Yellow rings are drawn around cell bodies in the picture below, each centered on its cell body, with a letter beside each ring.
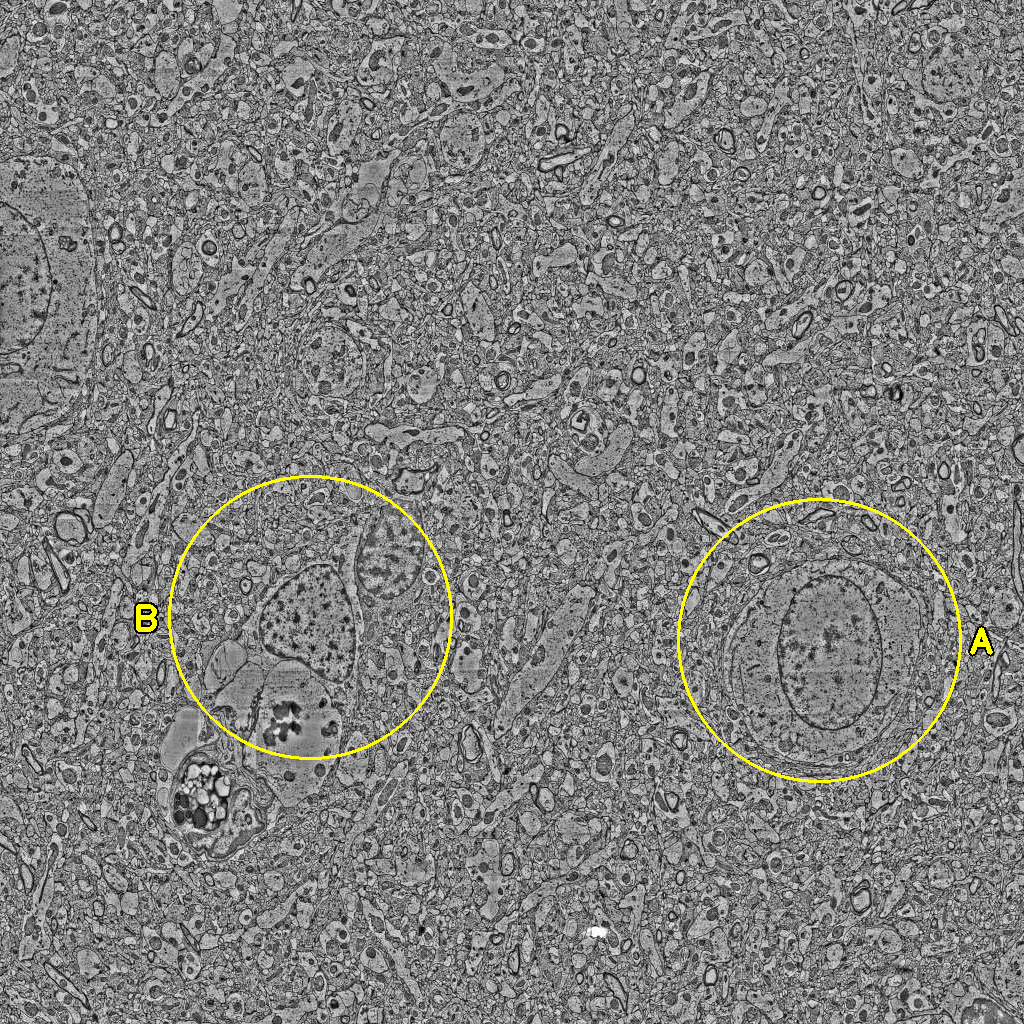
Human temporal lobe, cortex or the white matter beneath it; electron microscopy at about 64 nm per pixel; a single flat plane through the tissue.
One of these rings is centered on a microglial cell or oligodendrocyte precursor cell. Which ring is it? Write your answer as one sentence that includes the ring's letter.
It is ring B.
